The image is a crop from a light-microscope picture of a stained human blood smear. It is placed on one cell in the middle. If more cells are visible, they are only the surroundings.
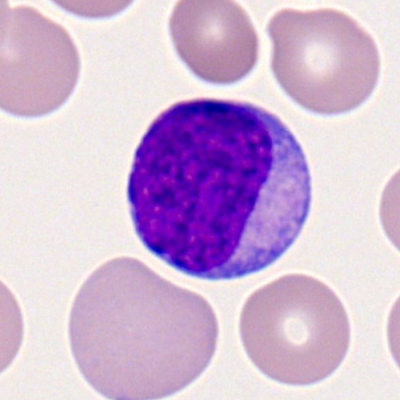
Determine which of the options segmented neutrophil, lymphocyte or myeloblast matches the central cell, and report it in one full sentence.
Among the cells in view, the one in the middle is a myeloblast.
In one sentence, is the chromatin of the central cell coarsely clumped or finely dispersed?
Thanks for asking; the chromatin is coarsely clumped.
